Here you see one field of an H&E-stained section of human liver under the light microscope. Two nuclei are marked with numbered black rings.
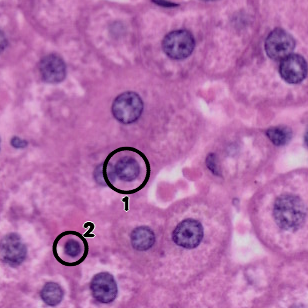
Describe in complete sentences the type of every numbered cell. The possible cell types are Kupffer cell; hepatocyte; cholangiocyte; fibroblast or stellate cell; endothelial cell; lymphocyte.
Cell 1 is a hepatocyte. Cell 2 is a lymphocyte.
